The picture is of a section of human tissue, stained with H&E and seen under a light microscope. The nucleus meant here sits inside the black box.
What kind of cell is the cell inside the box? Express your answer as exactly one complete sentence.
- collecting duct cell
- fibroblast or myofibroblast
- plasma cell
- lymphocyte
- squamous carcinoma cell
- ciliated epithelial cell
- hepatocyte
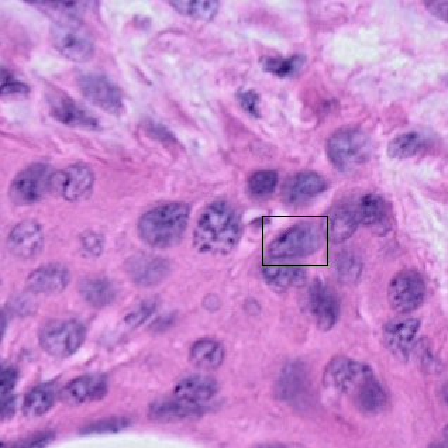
Right, so the cell inside the box is a squamous carcinoma cell, to answer that.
